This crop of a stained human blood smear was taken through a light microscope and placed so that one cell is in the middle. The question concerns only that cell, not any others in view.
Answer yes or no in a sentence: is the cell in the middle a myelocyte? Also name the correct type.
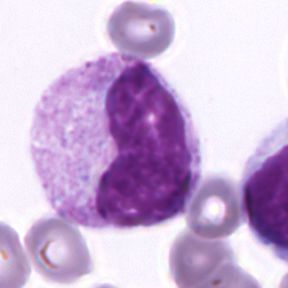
No, the central cell is a metamyelocyte; it should not be labelled a myelocyte.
